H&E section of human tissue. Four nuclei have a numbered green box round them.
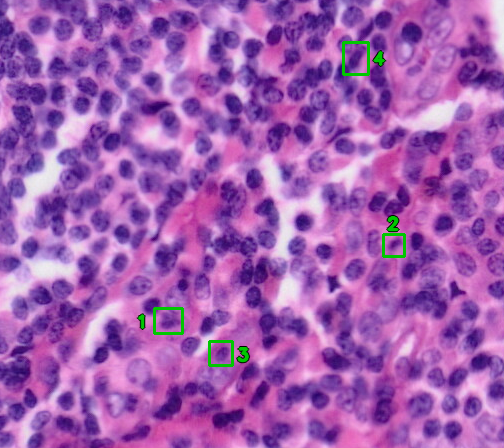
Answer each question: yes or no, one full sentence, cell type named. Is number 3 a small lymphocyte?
No, at number 3 sits an endothelial cell, not a small lymphocyte.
